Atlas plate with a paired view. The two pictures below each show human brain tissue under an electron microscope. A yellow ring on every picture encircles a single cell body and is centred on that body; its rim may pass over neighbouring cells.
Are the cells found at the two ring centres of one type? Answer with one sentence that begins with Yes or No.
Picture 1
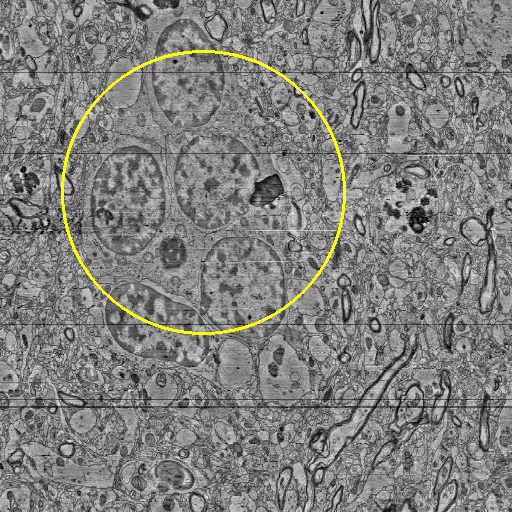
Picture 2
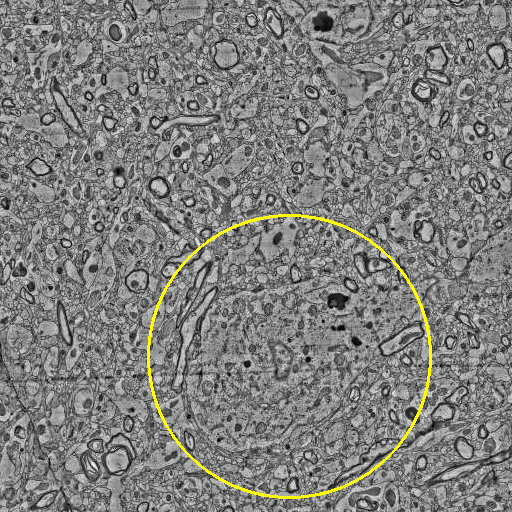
No, the two cells lying at the centres of the rings are of two types.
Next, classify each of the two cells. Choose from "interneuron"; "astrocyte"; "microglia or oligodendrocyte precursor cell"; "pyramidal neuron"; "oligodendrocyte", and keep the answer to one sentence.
In the first picture it is an oligodendrocyte; in the second it is a pyramidal neuron.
